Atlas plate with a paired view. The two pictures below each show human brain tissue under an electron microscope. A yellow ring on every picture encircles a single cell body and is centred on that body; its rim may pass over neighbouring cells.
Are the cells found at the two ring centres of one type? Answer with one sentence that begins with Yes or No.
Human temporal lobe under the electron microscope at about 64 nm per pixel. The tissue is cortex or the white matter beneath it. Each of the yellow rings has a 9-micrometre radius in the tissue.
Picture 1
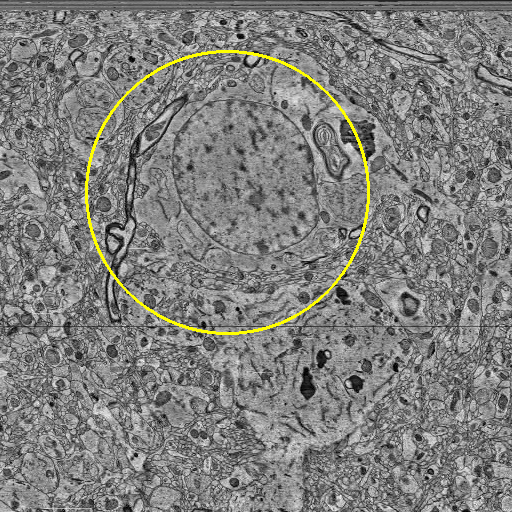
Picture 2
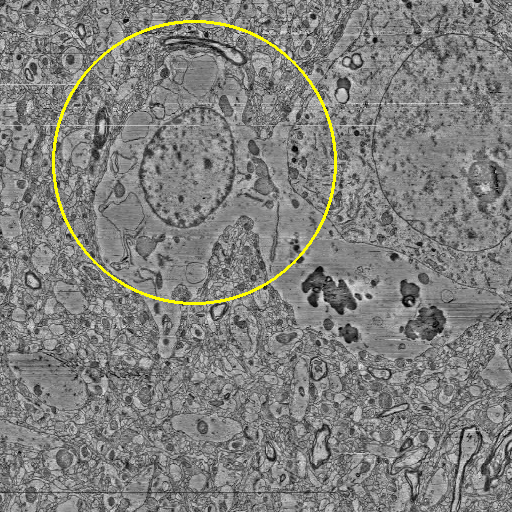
Yes, the two cells lying at the centres of the rings share a single type.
